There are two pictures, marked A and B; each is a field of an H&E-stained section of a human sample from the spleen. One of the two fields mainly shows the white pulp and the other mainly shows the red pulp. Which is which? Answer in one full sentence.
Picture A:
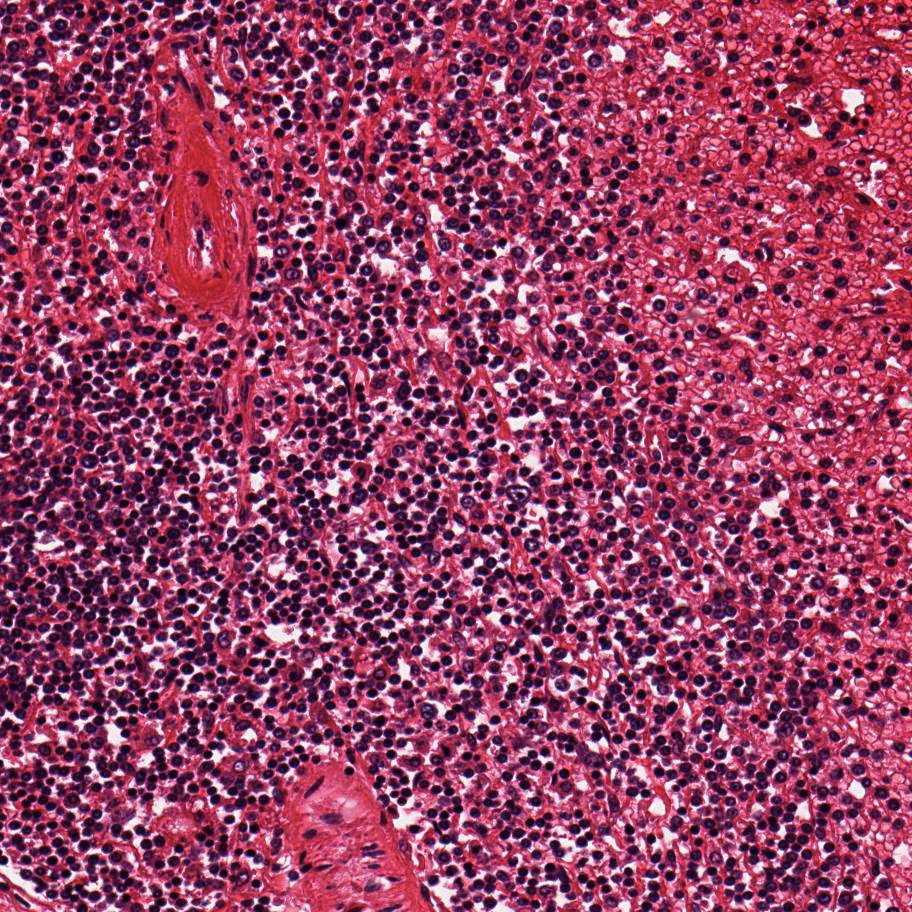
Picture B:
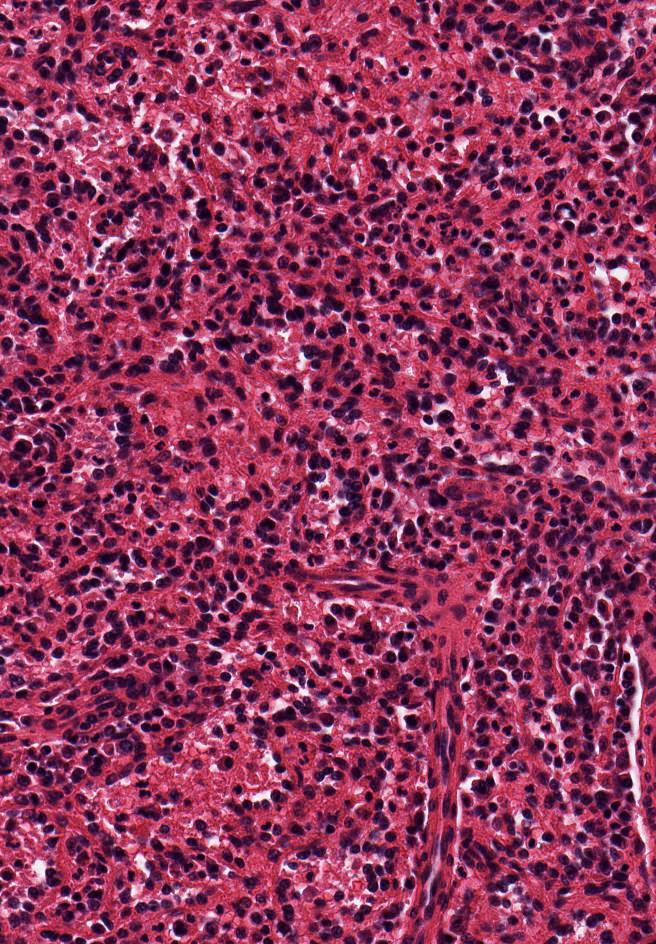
It is picture A that mainly shows the white pulp, and picture B that mainly shows the red pulp.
